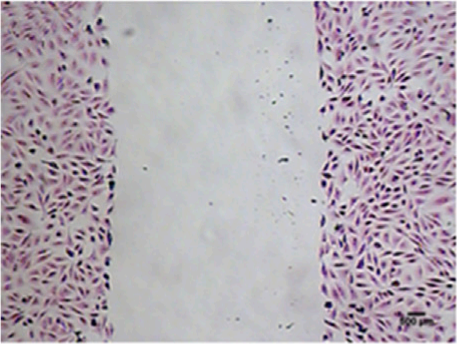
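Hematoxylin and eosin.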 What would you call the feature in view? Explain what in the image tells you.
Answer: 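Wound area. A wide vertical band free of cells runs down the middle of the field. Straight-edged sheets of stained cells lie on either side of the empty band.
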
